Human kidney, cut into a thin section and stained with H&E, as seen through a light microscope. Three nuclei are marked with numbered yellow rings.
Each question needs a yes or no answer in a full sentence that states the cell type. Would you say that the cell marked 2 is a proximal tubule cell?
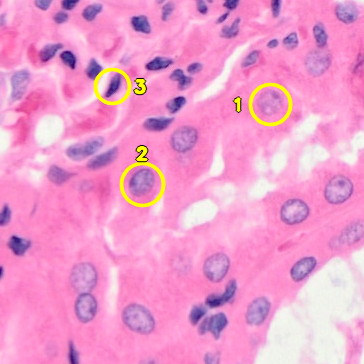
Yes, the cell that the number 2 labels is a proximal tubule cell.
